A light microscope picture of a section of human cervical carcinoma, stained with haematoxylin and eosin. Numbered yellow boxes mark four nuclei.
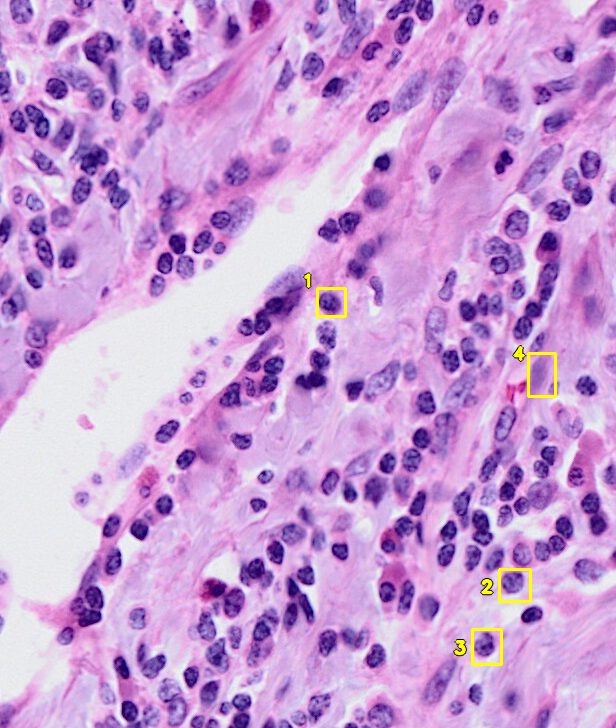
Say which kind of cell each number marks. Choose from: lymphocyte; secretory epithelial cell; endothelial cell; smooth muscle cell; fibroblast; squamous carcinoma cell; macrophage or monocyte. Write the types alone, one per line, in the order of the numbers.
lymphocyte
lymphocyte
lymphocyte
endothelial cell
